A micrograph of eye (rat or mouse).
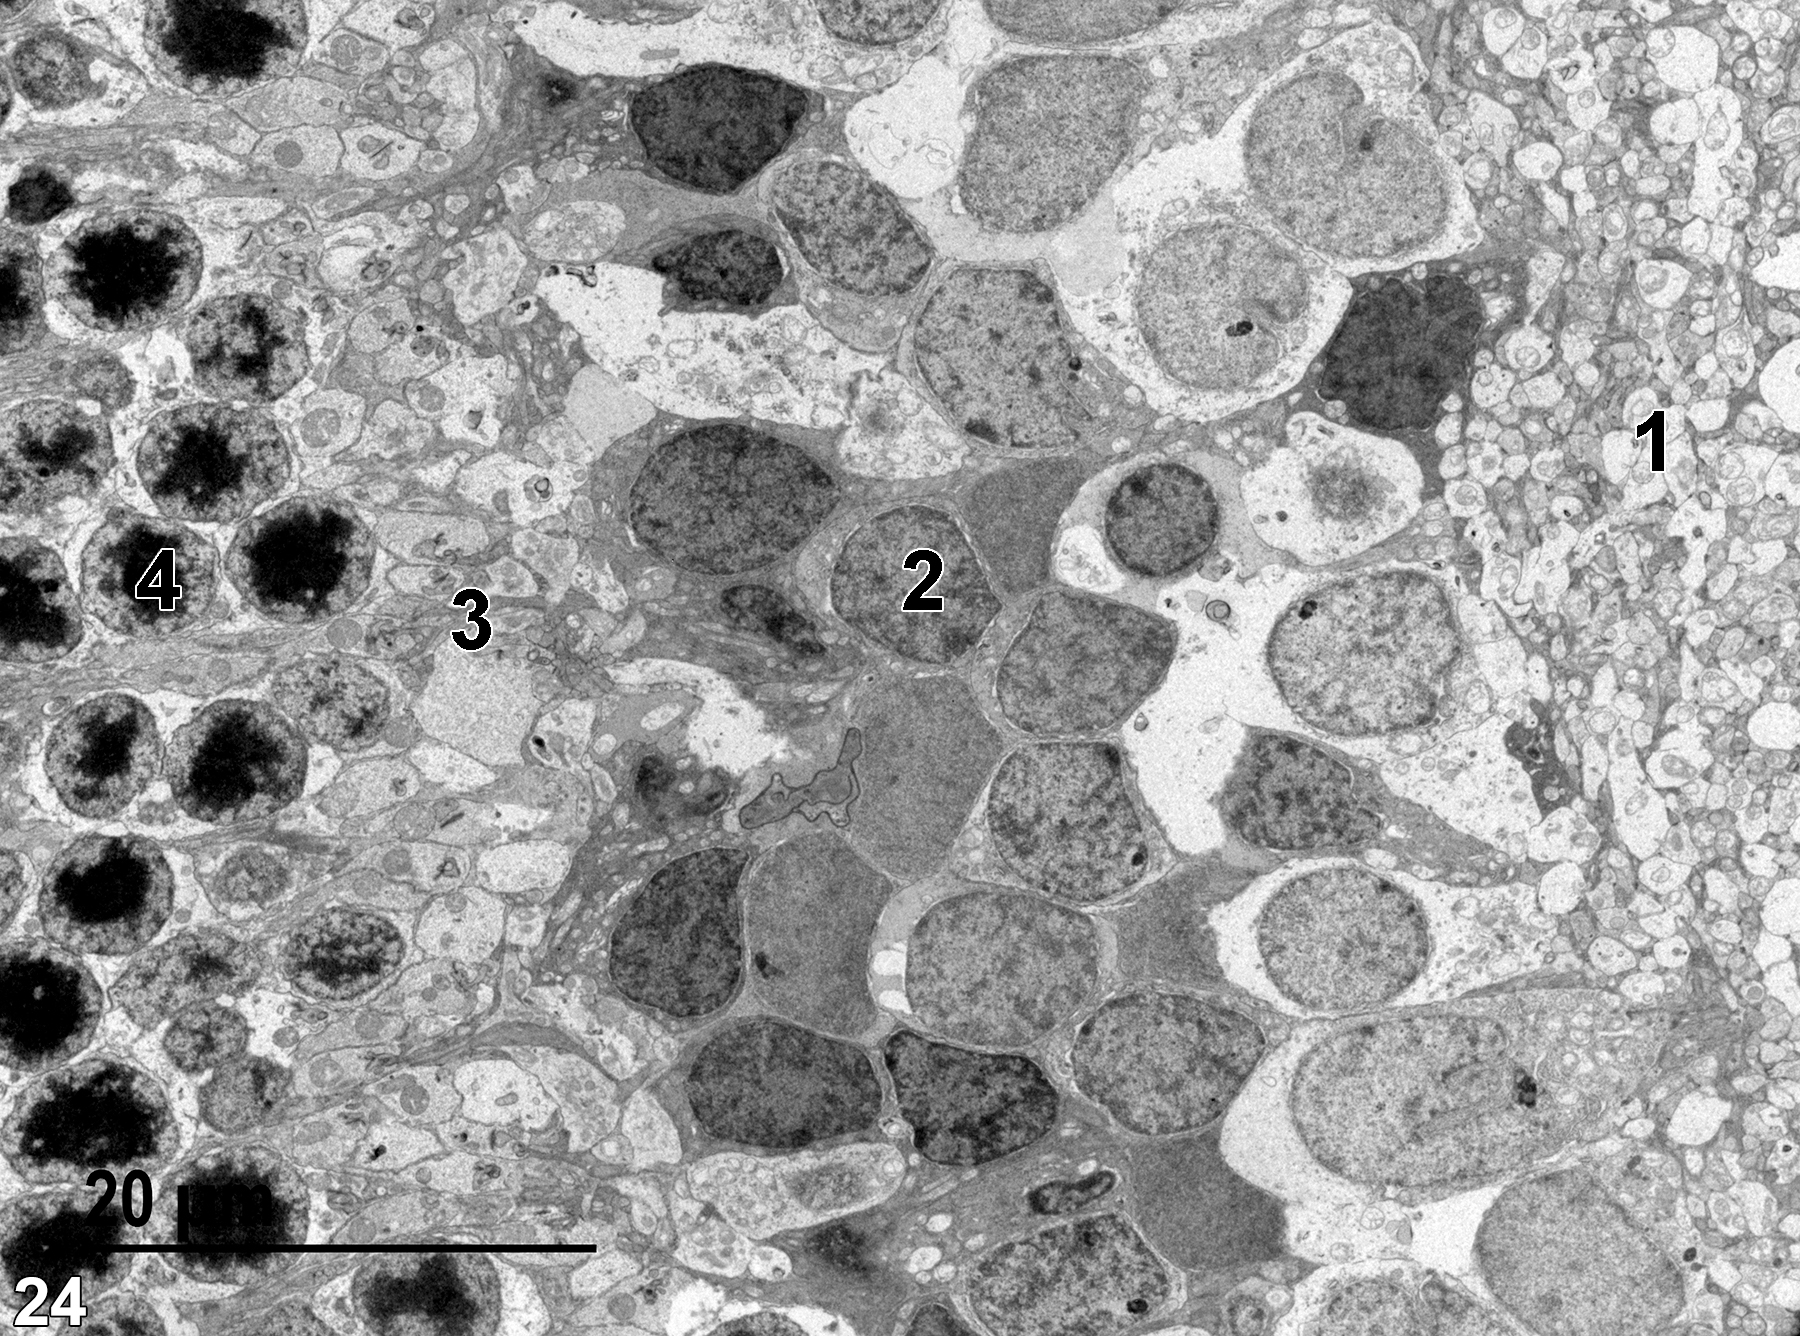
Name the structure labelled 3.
At 3: outer plexiform layer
